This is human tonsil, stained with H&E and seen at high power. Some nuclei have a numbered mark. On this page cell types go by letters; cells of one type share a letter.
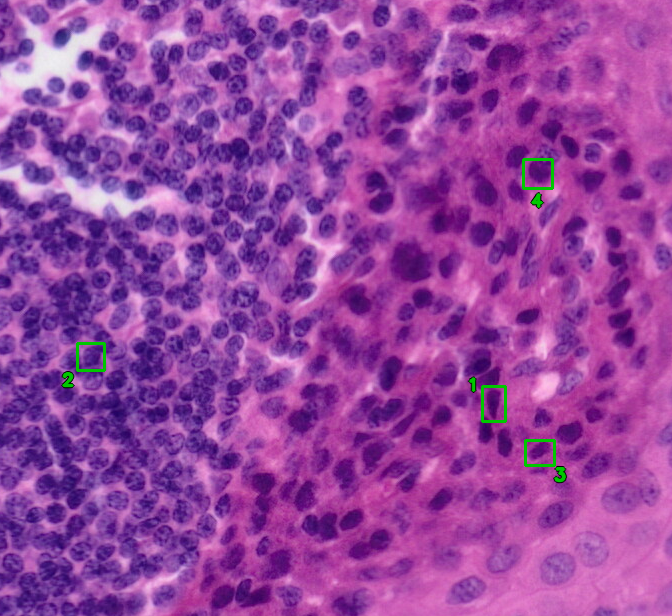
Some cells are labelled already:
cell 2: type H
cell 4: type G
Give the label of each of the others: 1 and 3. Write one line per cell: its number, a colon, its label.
1: type G
3: type G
